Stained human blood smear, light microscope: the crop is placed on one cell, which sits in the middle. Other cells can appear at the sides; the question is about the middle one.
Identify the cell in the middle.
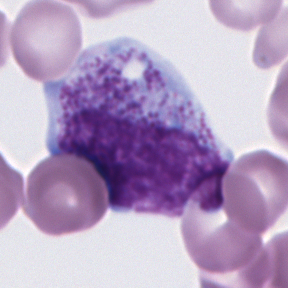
myelocyte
